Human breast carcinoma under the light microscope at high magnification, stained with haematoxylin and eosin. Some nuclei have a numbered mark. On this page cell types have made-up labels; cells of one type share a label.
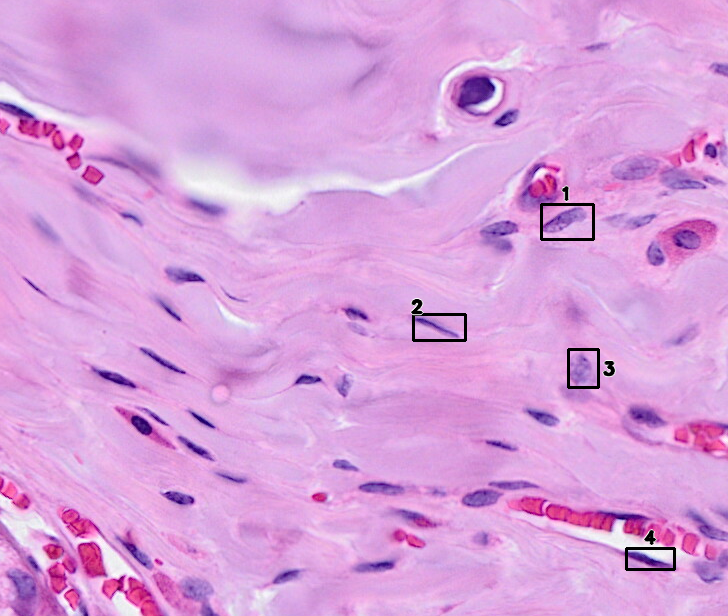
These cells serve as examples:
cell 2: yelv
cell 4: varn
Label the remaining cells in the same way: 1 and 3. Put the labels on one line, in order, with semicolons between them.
yelv; yelv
